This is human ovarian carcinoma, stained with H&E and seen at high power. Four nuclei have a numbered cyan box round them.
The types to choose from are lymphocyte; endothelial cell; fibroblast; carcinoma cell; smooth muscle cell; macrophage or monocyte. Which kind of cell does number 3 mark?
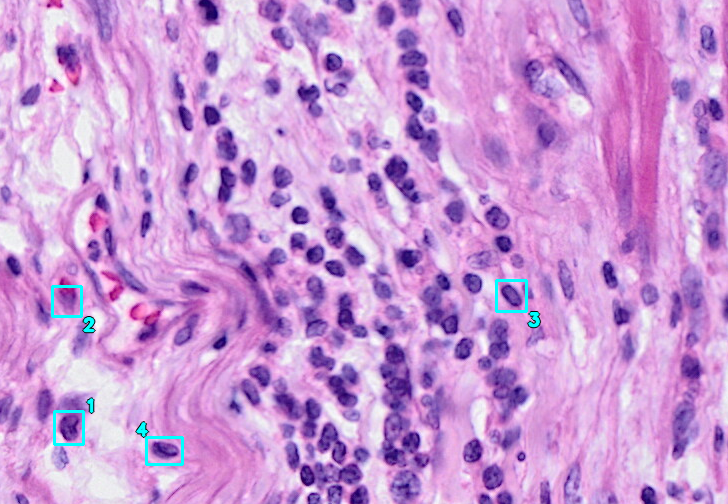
lymphocyte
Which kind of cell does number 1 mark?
lymphocyte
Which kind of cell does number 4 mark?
lymphocyte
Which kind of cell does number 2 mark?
endothelial cell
